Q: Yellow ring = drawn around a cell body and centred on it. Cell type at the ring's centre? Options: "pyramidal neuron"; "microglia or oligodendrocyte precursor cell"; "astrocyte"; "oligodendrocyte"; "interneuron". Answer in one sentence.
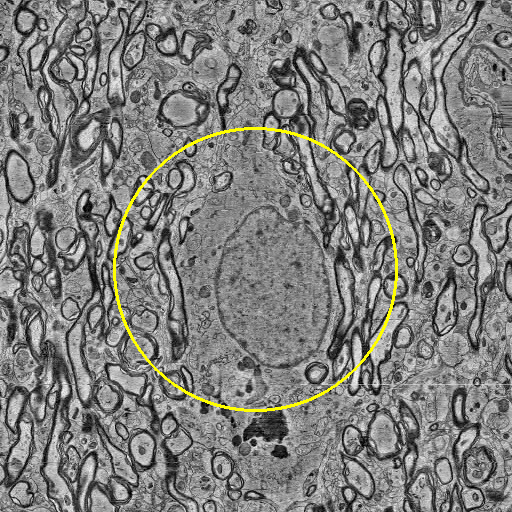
Centred in the ring is an astrocyte.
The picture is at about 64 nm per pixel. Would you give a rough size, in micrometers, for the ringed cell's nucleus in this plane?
Roughly 11 by 7 micrometres is the size of the nucleus in this plane.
